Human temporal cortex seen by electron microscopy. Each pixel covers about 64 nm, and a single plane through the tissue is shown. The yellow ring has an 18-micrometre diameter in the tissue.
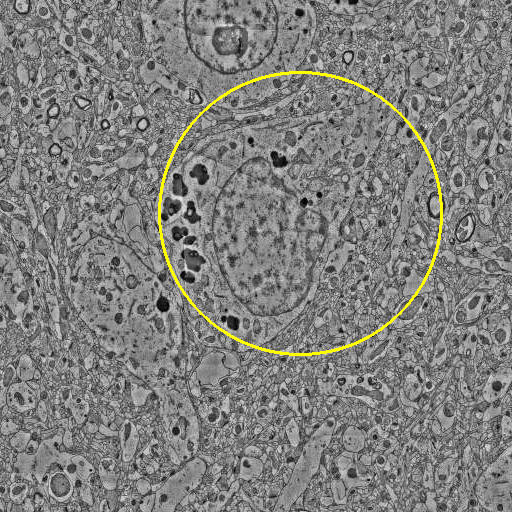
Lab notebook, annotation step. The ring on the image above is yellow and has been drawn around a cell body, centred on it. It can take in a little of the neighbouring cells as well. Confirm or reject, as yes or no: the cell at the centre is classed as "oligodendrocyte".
No, the cell is of another class.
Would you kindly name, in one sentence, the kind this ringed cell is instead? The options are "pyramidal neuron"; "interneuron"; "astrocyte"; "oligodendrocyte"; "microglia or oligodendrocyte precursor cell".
The cell that the ring is centred on is an interneuron.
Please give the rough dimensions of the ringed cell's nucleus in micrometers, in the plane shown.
The nucleus appears roughly 10 by 7 micrometres in this plane.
